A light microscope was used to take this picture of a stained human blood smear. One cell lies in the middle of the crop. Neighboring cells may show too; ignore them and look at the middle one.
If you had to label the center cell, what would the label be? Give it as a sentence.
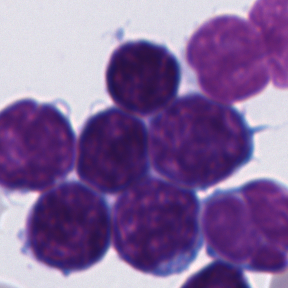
The cell centered in this field of view is a myeloblast.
